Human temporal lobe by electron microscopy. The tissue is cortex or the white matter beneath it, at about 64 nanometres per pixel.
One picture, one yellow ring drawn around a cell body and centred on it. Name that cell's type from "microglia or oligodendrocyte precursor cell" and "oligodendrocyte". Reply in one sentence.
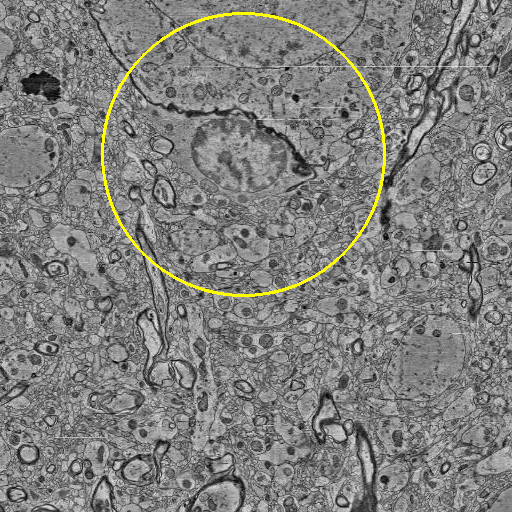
Centred in the ring is an oligodendrocyte.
